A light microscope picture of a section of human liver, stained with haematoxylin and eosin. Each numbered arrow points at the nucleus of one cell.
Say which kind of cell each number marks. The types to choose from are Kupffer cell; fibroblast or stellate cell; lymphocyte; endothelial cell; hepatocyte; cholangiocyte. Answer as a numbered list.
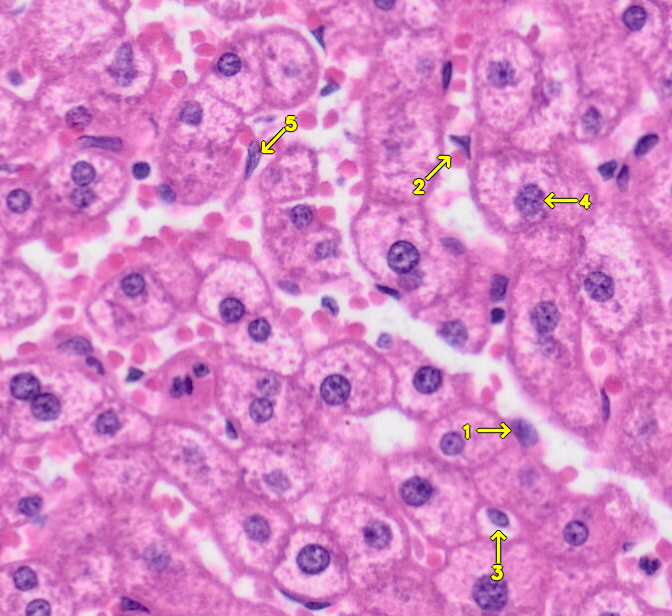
1. endothelial cell
2. endothelial cell
3. Kupffer cell
4. hepatocyte
5. Kupffer cell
